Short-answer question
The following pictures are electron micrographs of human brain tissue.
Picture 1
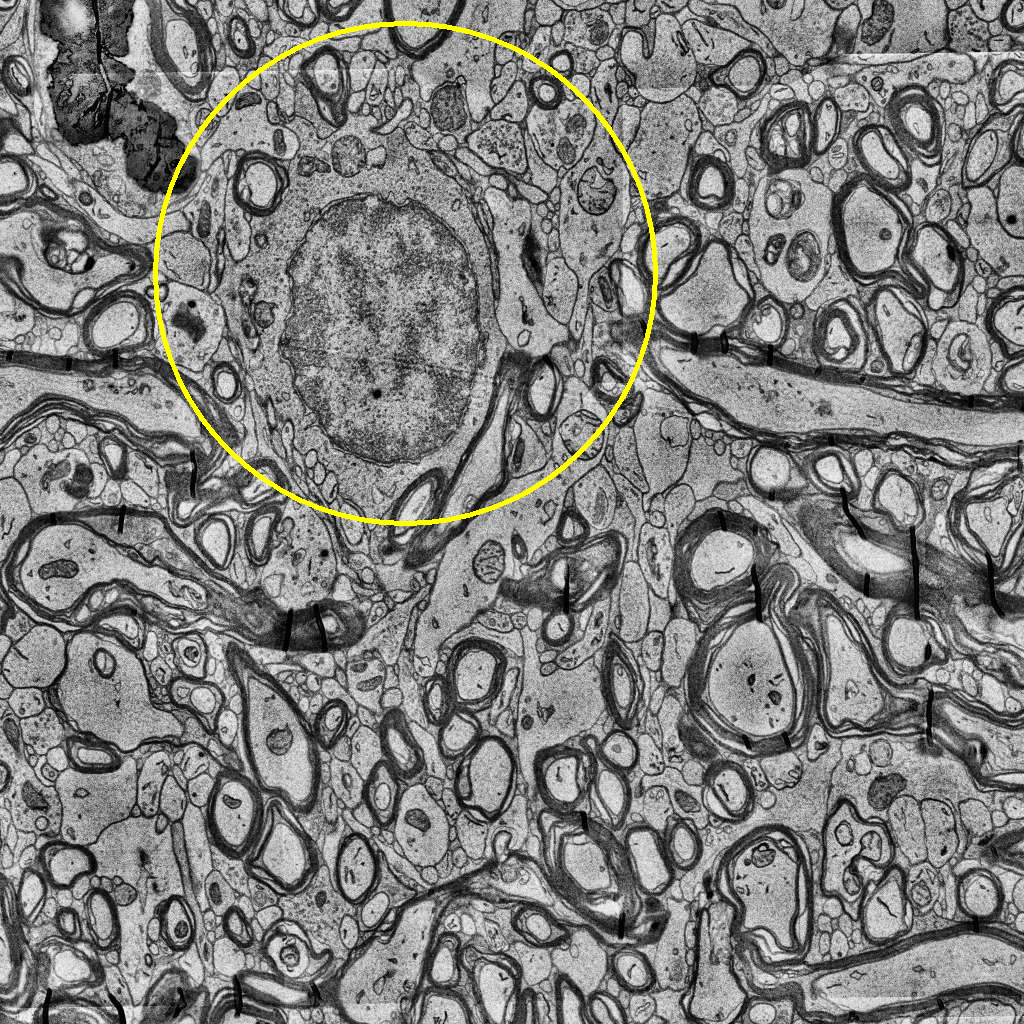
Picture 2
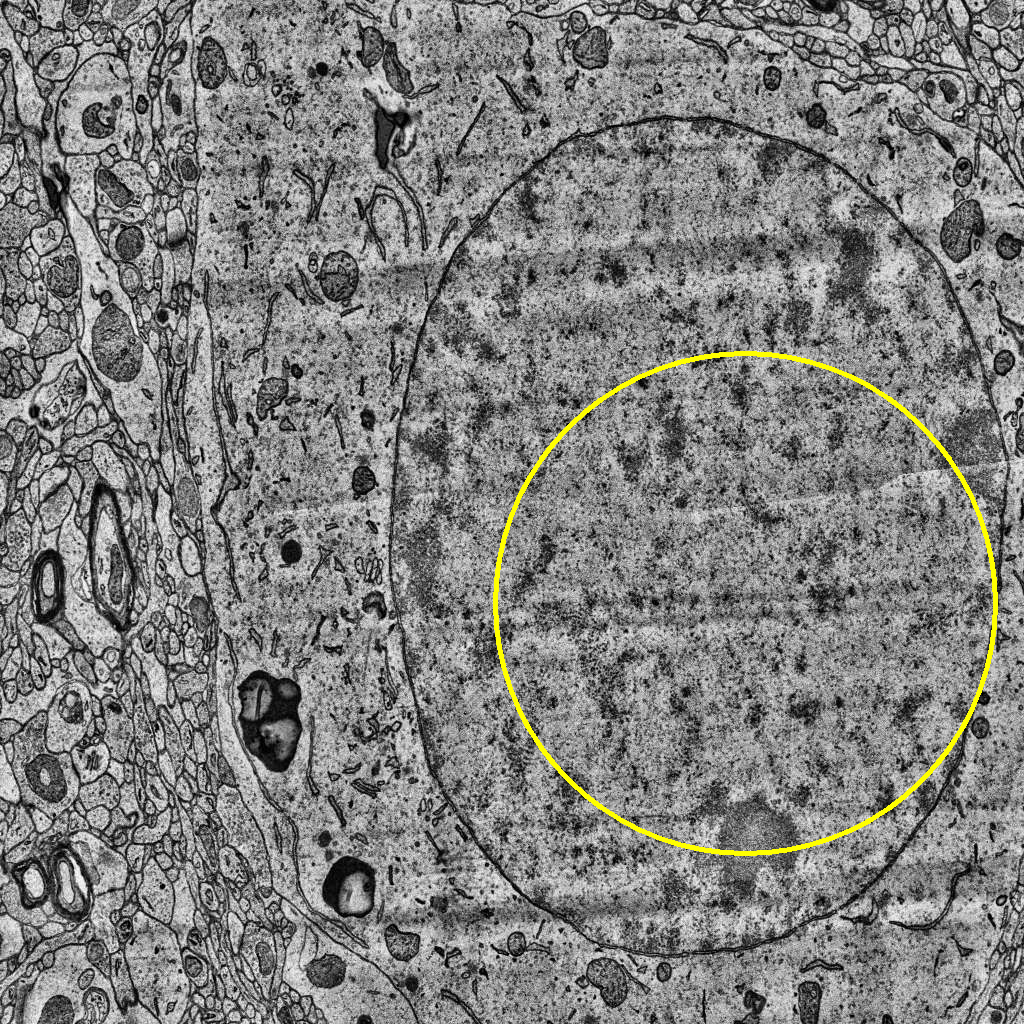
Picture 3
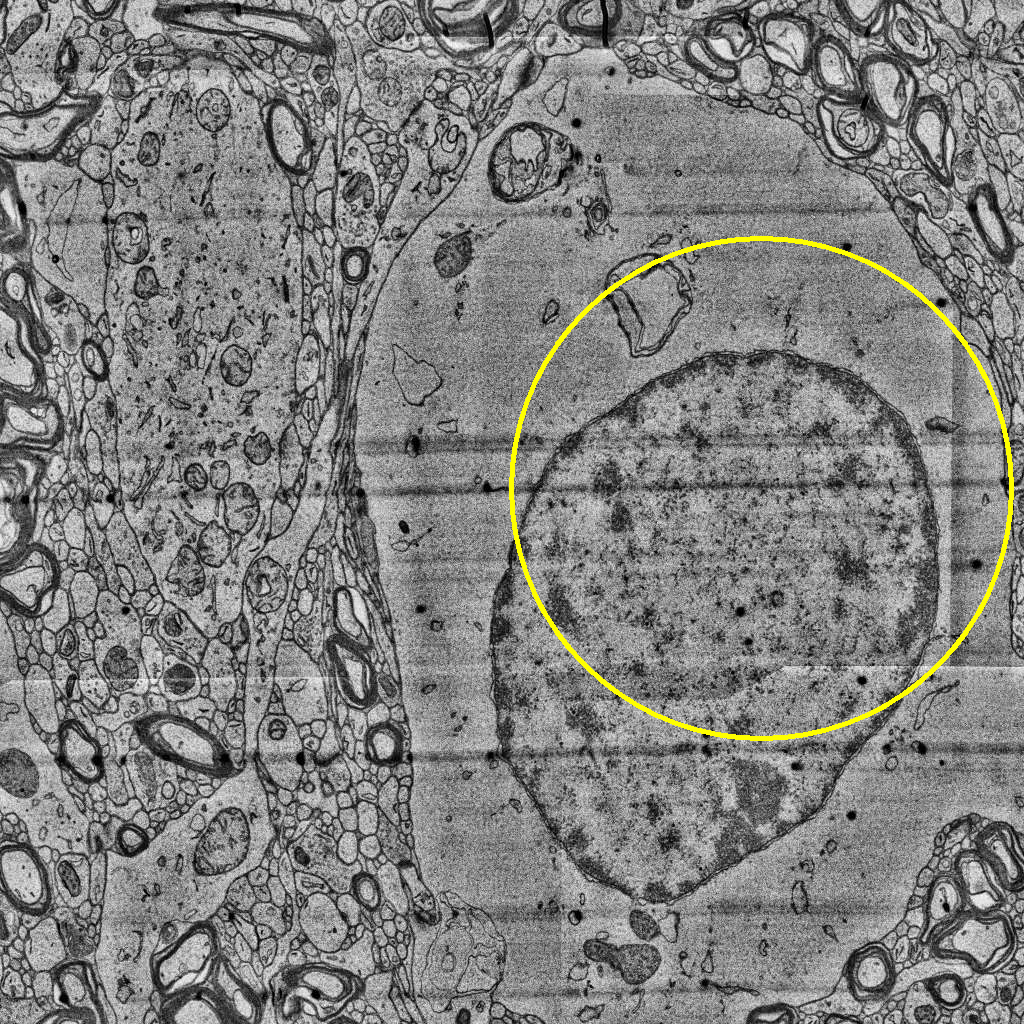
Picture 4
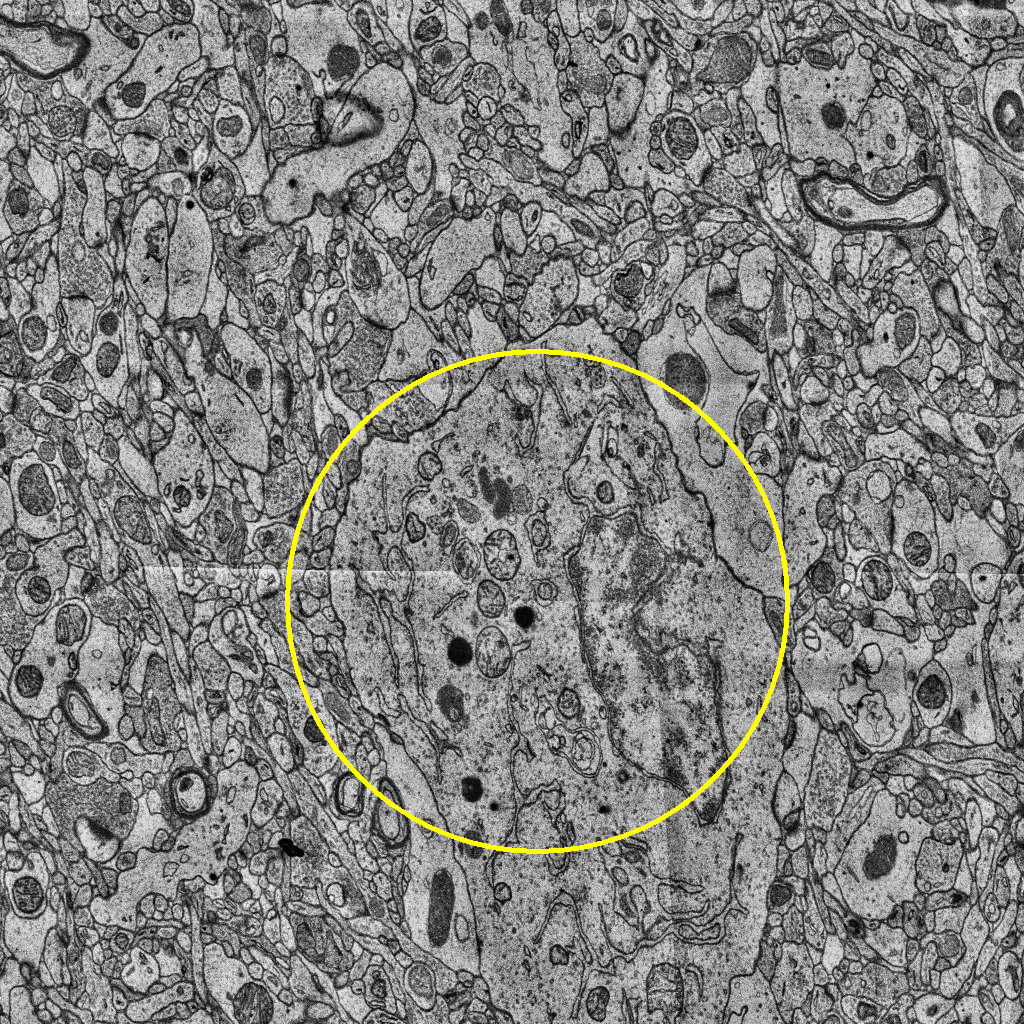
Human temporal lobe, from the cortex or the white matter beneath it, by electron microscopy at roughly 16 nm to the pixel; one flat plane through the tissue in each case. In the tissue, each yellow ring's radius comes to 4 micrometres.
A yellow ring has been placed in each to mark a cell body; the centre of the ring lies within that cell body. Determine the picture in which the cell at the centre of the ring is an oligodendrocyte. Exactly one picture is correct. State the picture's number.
1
